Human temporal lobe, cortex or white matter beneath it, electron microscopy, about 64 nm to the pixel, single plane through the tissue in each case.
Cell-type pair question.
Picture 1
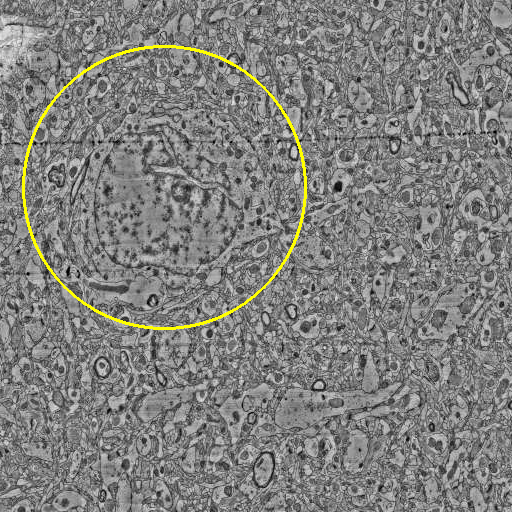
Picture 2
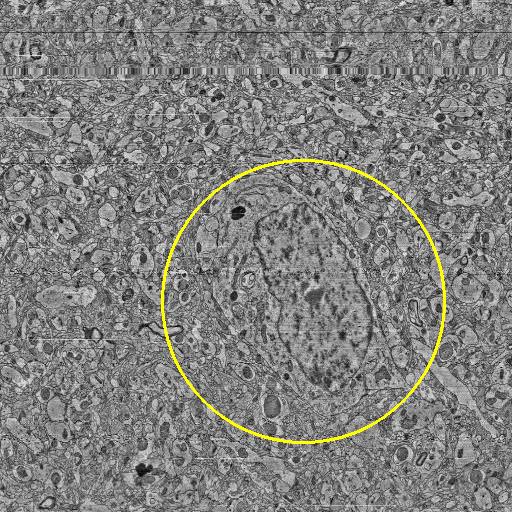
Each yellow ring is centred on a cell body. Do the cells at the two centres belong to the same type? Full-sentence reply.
Yes, the two cells belong to the same type.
